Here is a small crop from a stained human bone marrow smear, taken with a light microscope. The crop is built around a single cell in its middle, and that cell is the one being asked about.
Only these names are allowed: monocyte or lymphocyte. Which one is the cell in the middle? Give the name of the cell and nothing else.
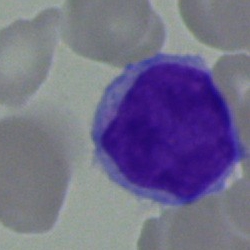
lymphocyte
